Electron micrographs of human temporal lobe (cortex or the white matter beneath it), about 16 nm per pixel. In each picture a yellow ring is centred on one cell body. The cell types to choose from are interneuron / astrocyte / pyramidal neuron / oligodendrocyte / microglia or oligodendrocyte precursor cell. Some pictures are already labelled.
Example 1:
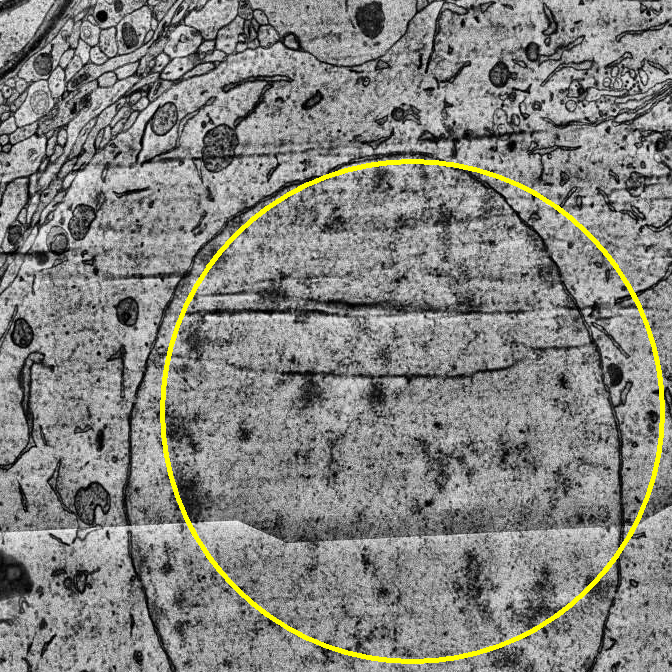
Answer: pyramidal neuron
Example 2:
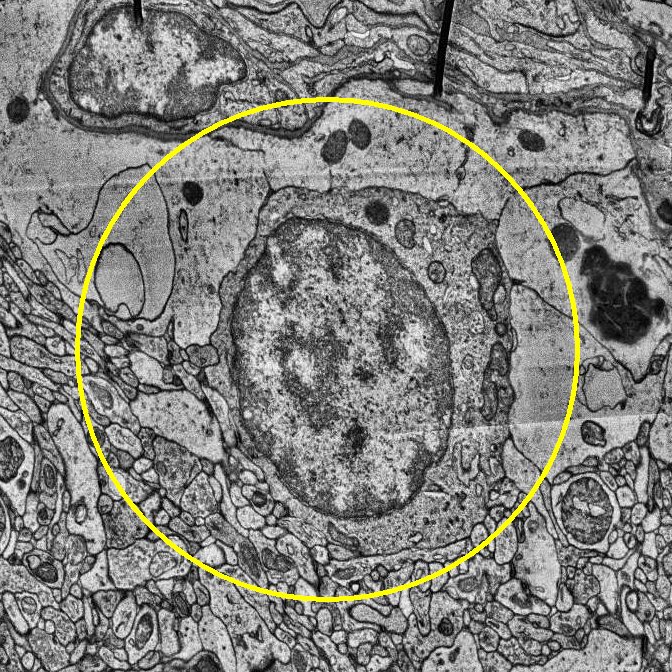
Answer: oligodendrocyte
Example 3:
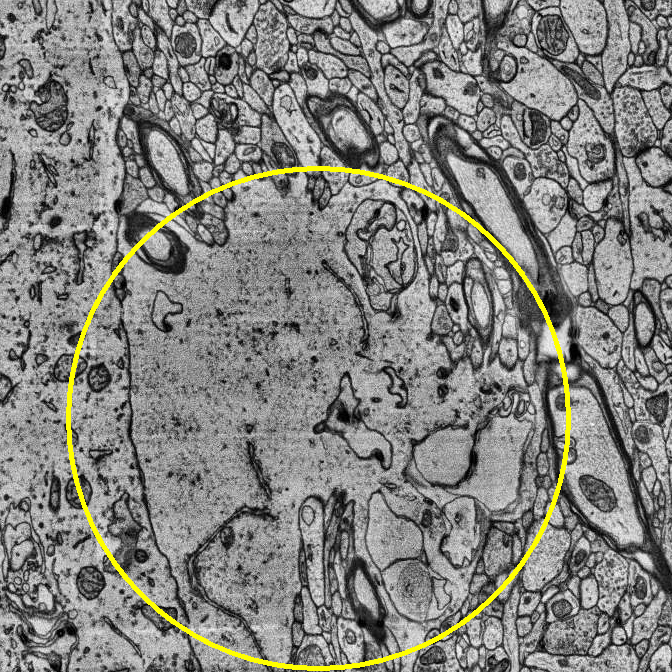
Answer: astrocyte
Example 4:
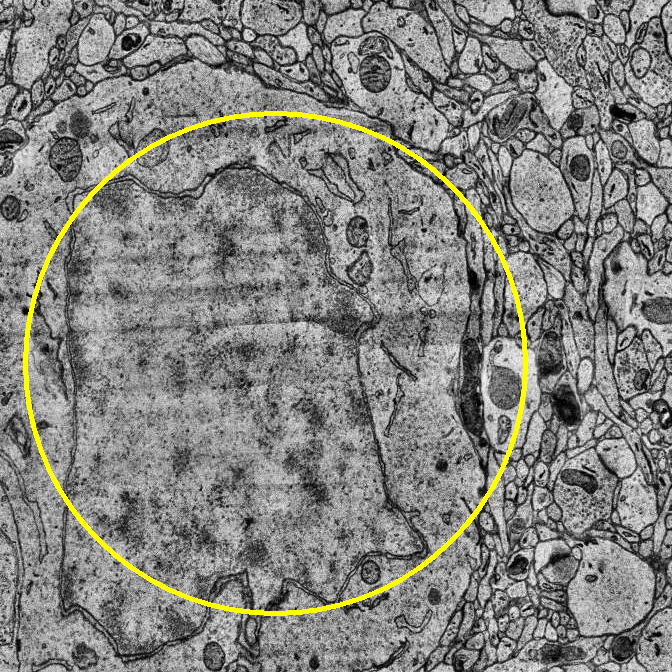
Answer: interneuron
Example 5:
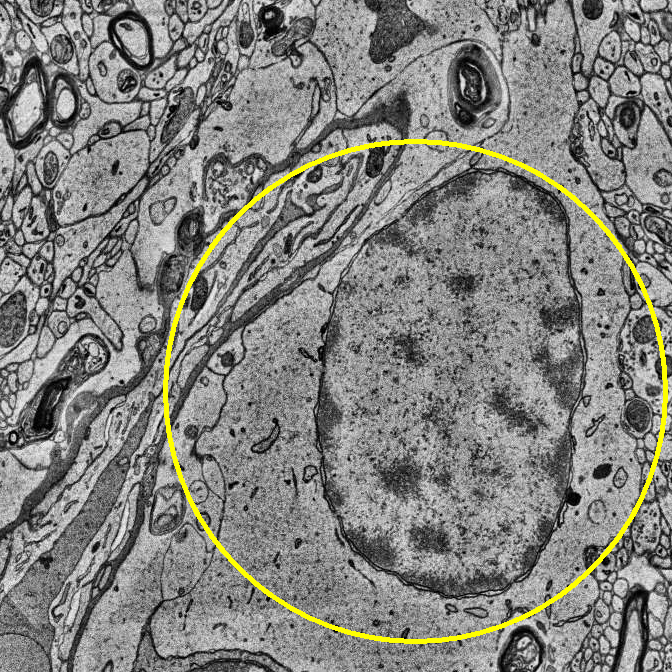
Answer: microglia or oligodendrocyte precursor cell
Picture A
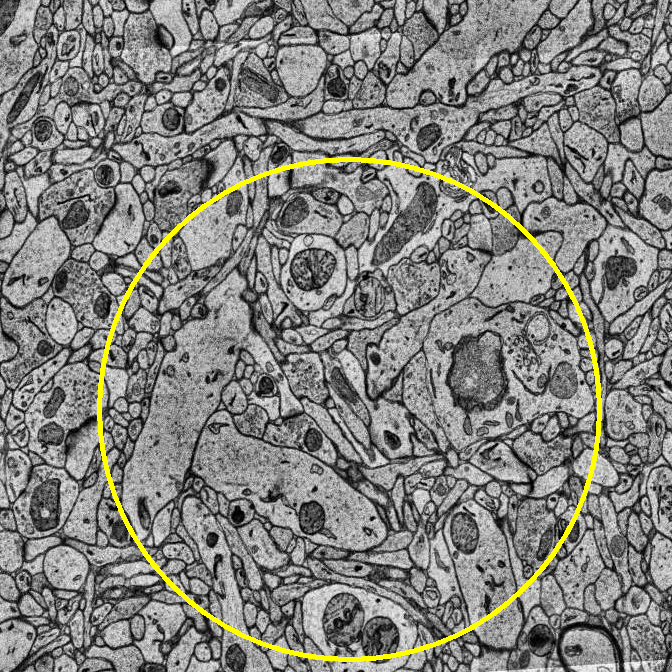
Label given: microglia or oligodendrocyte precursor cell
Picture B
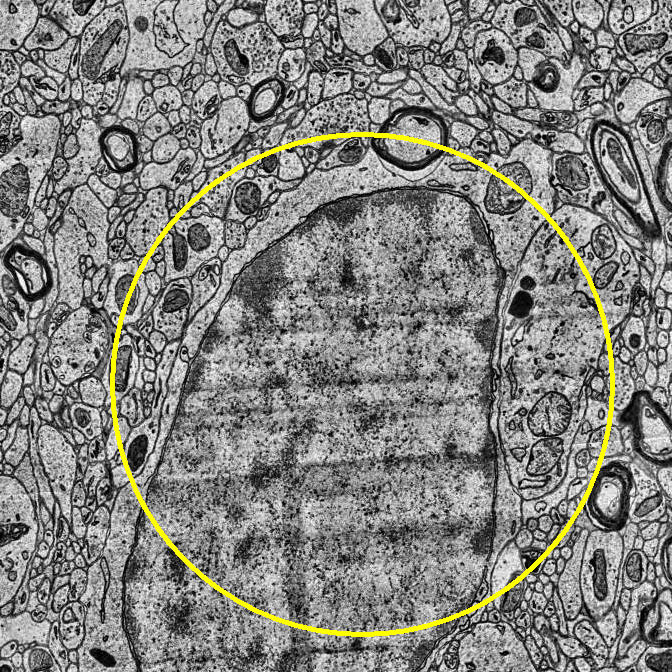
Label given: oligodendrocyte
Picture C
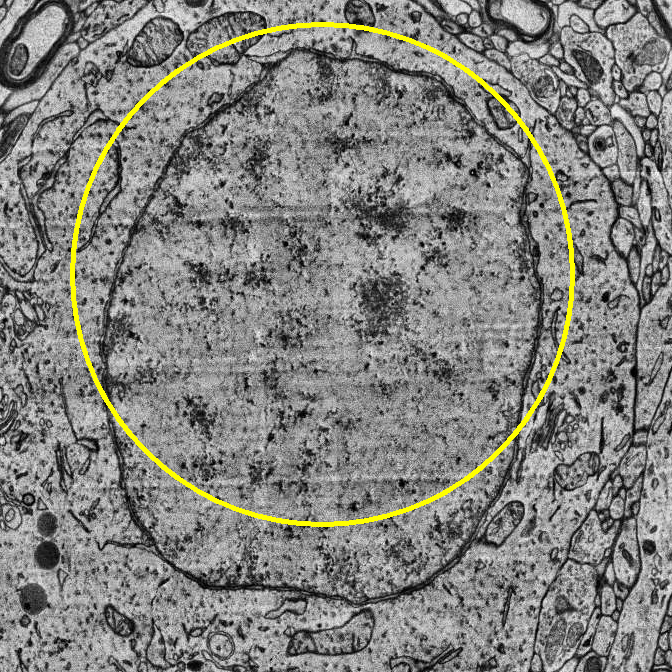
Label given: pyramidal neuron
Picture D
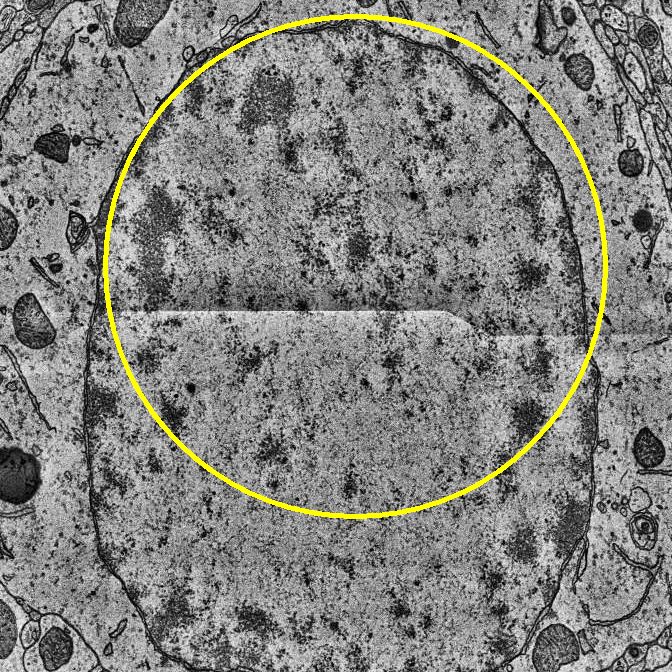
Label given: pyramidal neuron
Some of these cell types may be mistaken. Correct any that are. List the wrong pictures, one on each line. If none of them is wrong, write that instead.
B is labelled oligodendrocyte; correct label: microglia or oligodendrocyte precursor cell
